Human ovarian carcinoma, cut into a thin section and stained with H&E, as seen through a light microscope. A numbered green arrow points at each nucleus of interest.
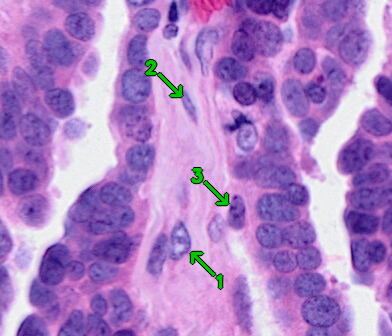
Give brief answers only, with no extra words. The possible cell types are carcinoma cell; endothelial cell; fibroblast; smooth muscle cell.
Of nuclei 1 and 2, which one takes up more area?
1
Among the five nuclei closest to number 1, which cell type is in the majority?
fibroblast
